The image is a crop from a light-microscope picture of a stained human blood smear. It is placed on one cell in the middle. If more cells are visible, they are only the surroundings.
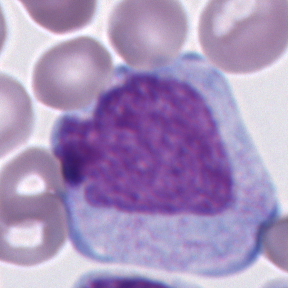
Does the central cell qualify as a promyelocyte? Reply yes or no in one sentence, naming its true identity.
Yes, the cell that lies centrally is a promyelocyte.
